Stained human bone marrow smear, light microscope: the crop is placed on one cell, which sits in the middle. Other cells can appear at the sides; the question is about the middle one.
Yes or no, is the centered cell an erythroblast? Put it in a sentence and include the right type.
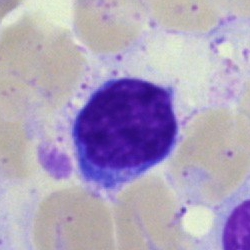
No, it is a lymphocyte, not an erythroblast, that lies at the centre of the crop.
